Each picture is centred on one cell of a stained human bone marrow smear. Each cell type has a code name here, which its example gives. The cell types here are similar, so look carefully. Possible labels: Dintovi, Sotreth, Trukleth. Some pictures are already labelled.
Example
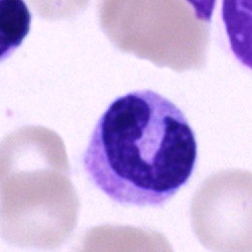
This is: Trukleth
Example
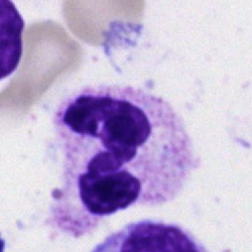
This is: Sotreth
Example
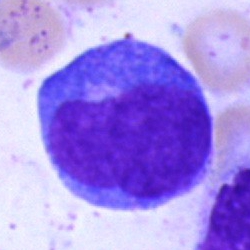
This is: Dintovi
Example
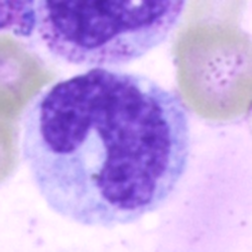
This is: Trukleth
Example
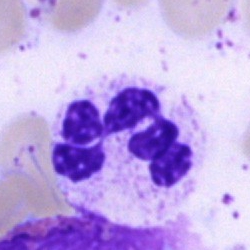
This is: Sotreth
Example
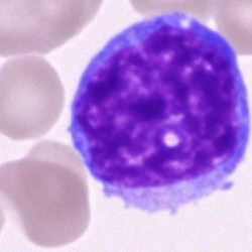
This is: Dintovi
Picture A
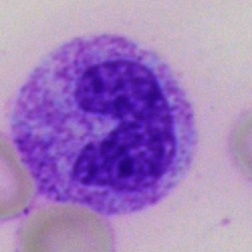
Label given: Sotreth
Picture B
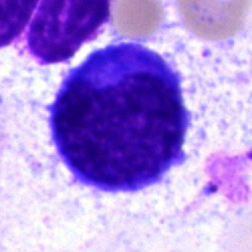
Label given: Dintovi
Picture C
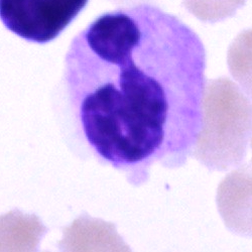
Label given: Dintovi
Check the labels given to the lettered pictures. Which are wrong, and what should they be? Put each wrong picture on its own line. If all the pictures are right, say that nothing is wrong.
A should be Trukleth, not Sotreth
C should be Sotreth, not Dintovi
